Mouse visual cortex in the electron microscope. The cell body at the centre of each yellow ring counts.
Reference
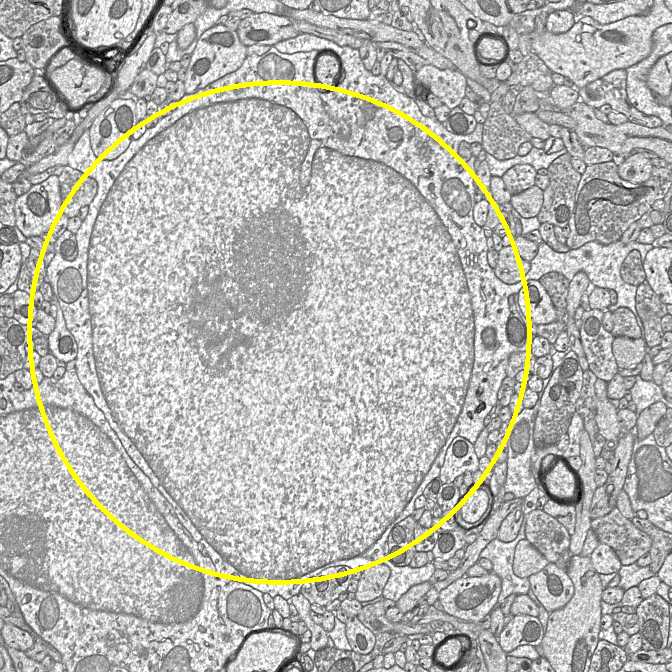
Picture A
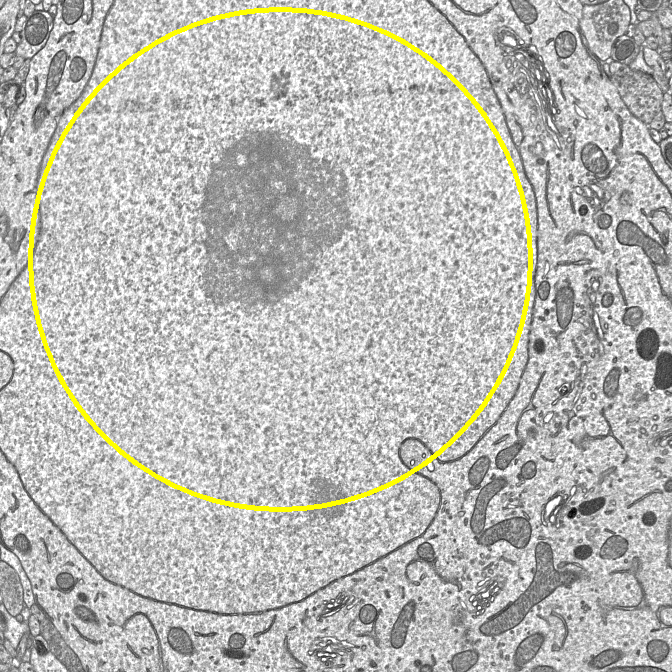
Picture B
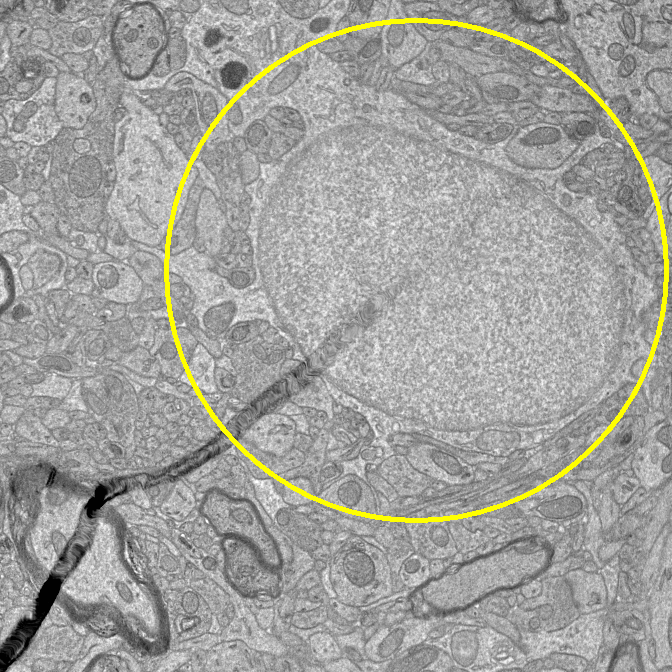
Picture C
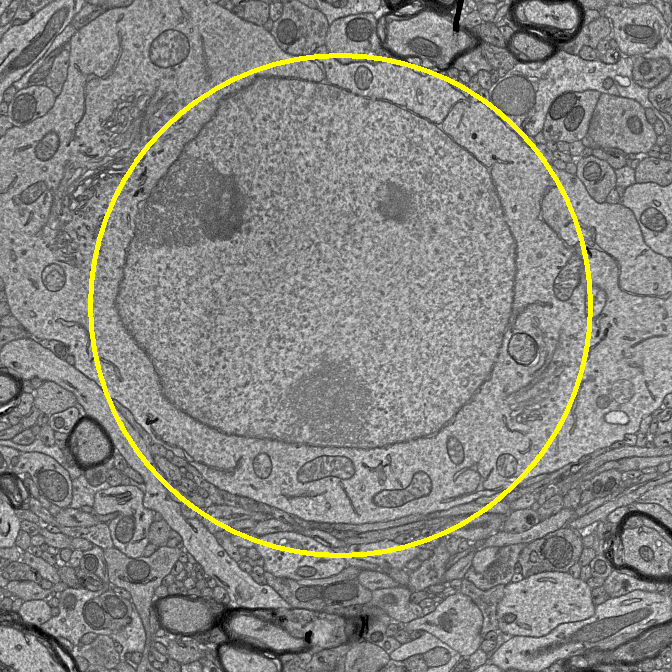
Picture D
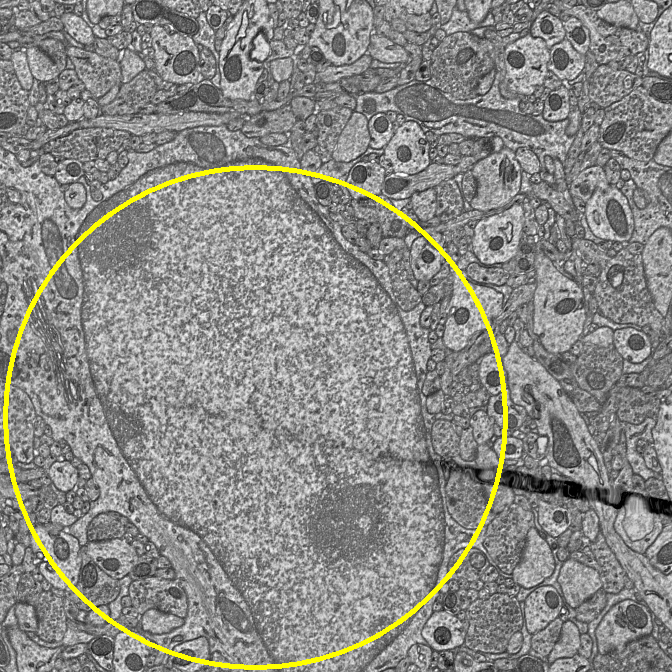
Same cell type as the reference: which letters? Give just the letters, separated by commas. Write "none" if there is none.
B, D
